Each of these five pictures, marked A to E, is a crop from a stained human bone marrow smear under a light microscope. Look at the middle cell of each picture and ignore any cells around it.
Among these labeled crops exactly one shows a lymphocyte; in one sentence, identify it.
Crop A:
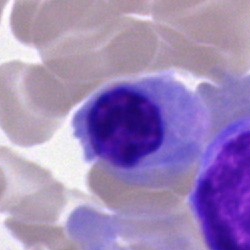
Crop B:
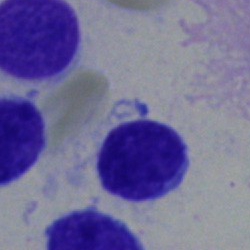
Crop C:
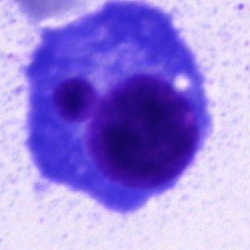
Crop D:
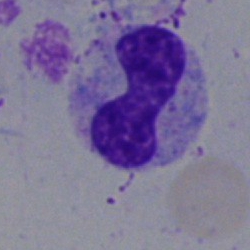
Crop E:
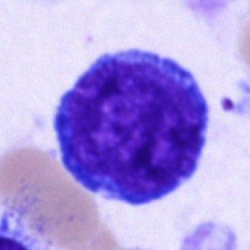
Crop B, of the crops presented, is the one showing a lymphocyte.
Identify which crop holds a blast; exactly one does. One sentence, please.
Crop E is the single crop that shows a blast.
